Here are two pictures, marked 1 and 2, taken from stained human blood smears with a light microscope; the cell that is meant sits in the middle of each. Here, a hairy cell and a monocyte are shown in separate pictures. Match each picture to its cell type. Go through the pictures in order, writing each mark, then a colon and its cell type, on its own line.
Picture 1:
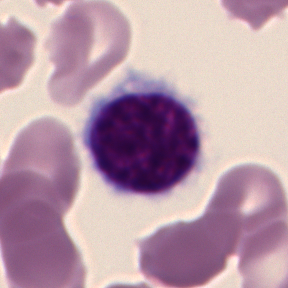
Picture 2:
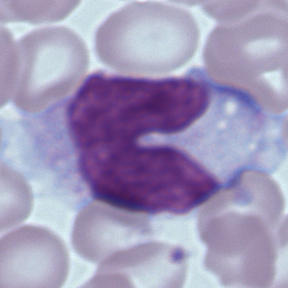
1: hairy cell
2: monocyte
